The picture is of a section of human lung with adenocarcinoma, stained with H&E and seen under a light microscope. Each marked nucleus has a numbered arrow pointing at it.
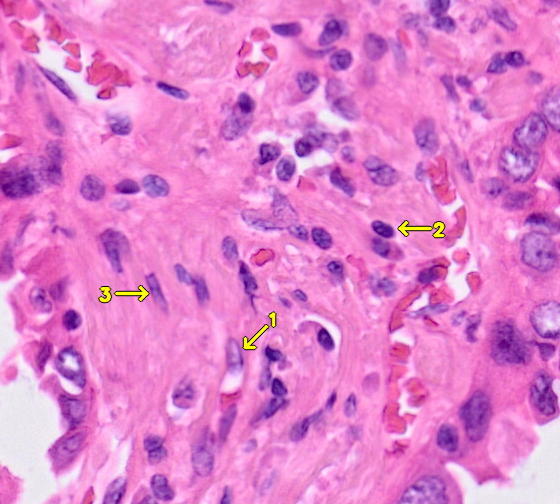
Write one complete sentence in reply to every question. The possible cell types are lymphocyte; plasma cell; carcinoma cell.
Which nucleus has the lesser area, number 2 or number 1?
The smaller nucleus is 2, and 1 covers roughly 1.5 times its area.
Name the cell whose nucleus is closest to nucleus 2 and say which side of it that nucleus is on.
Just below nucleus 2 lies the nearest nucleus, which belongs to a plasma cell.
